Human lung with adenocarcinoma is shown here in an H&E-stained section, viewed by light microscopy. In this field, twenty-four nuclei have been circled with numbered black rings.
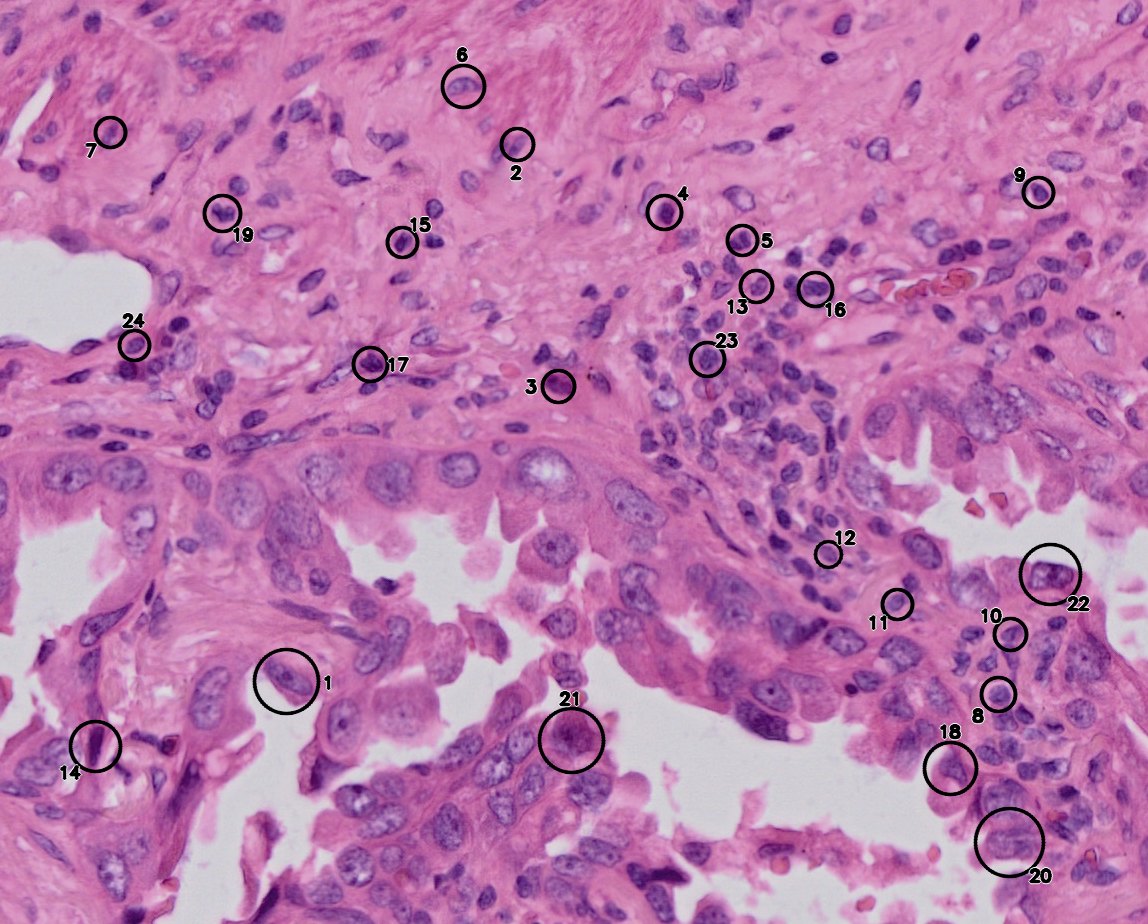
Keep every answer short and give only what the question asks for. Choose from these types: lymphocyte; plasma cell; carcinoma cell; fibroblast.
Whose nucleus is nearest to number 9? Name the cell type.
fibroblast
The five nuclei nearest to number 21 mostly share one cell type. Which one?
carcinoma cell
